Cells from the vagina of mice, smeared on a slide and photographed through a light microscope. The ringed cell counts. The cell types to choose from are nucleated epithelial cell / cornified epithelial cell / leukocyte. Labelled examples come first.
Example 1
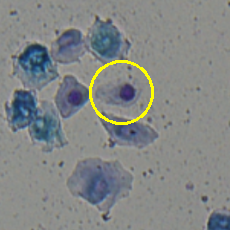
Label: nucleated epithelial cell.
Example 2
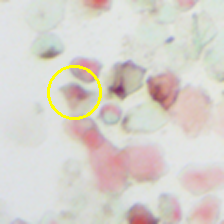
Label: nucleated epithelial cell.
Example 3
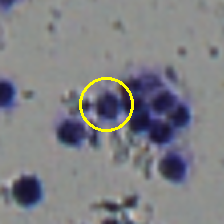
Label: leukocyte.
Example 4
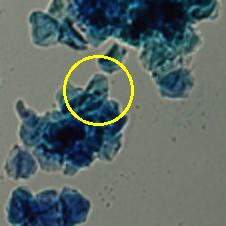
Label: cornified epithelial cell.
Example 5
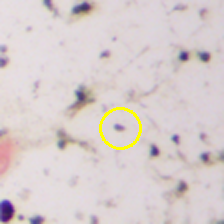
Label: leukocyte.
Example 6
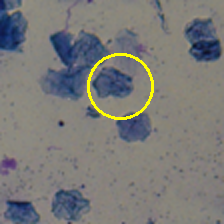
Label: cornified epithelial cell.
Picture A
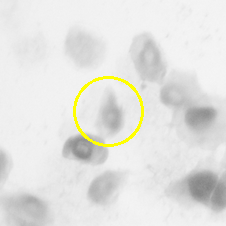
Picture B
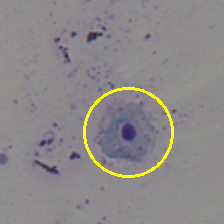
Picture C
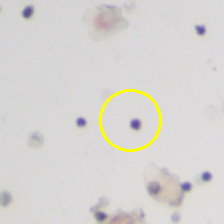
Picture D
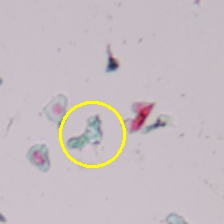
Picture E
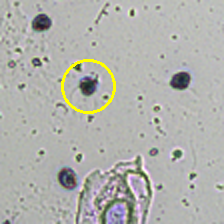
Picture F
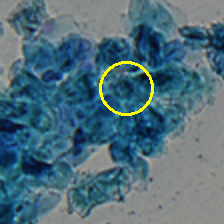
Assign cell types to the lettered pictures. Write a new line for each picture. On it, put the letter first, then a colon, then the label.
A: nucleated epithelial cell.
B: nucleated epithelial cell.
C: leukocyte.
D: cornified epithelial cell.
E: leukocyte.
F: cornified epithelial cell.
